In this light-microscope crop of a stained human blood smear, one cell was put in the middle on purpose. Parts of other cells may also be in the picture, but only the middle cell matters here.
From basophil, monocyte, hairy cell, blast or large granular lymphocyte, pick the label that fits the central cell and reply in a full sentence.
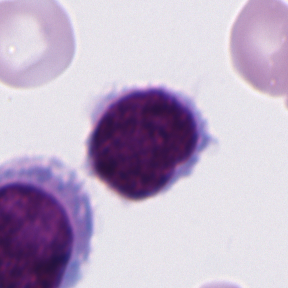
The centrally located cell in the crop is a hairy cell.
